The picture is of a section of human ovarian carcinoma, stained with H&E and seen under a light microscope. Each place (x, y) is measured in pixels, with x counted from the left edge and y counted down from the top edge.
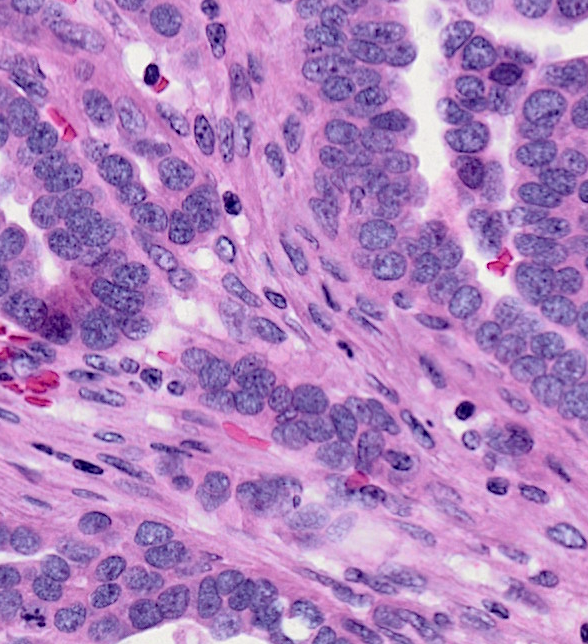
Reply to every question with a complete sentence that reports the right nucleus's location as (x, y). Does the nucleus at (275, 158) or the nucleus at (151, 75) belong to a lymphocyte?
The nucleus of a lymphocyte is the one found at (151, 75), not the other.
